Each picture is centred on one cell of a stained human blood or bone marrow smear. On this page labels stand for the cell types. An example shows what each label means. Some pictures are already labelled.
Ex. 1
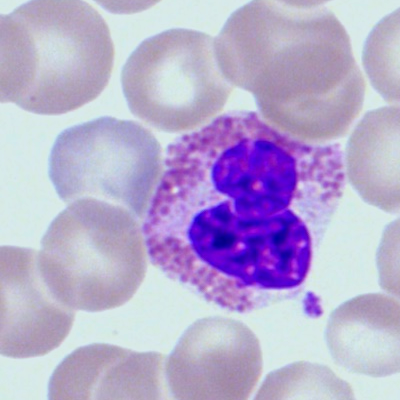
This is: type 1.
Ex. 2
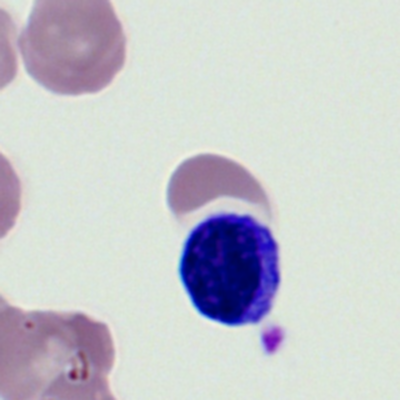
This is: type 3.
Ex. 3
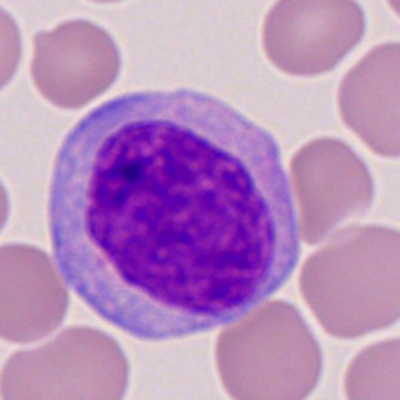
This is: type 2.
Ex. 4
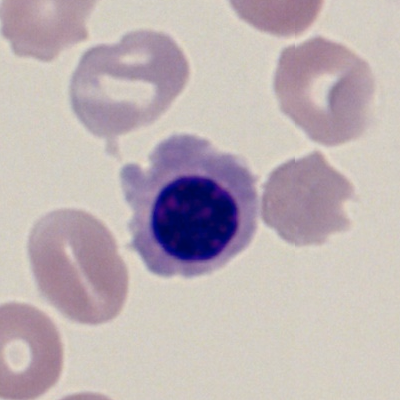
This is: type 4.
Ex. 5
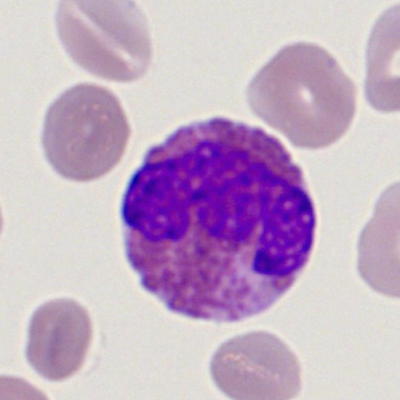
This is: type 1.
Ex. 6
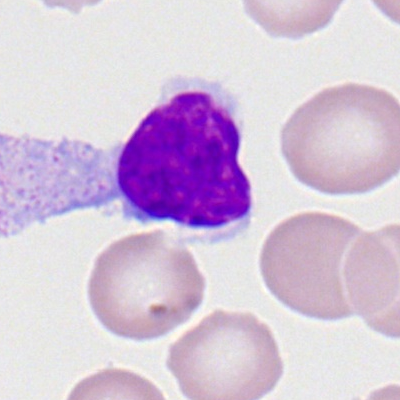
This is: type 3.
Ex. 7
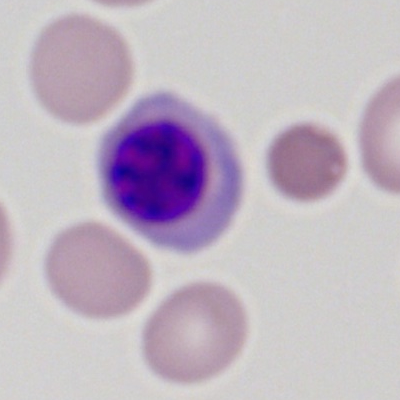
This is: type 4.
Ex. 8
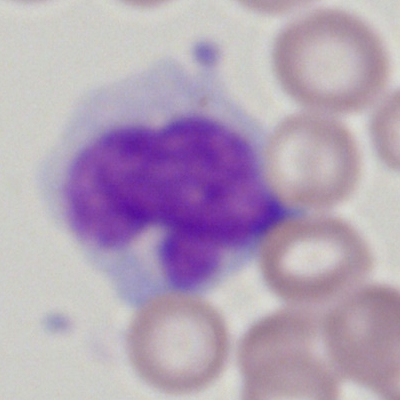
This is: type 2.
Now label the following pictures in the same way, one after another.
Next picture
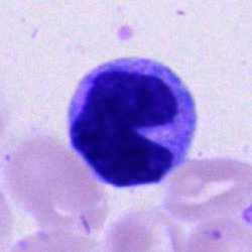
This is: type 2.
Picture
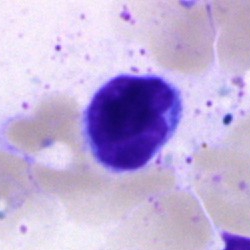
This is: type 3.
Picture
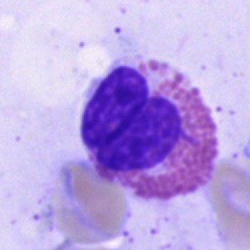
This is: type 1.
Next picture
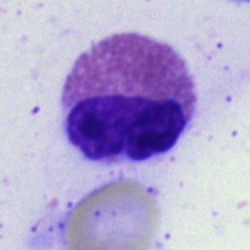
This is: type 1.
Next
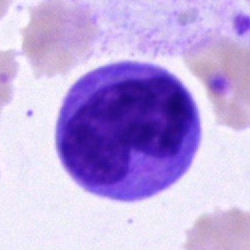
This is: type 2.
